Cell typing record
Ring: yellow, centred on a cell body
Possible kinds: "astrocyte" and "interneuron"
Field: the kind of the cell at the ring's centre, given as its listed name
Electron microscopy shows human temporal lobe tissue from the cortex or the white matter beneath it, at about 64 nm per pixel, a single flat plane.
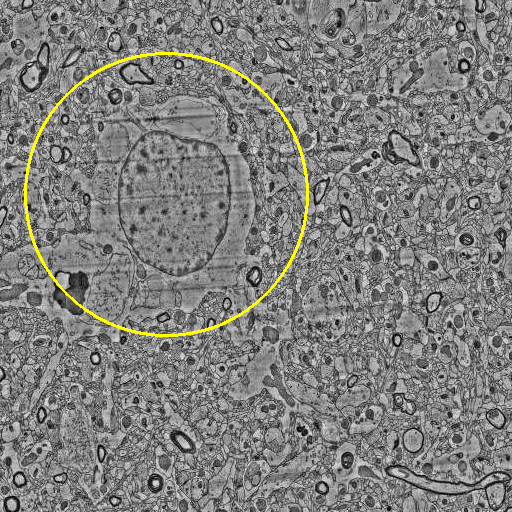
astrocyte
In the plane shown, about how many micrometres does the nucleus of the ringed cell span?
The nucleus has a long axis of about 9 micrometres and a short axis of about 8 micrometres in this plane.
